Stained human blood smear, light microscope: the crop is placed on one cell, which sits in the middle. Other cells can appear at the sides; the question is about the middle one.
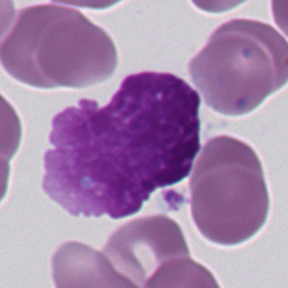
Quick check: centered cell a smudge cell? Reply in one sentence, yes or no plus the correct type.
Yes, that is a smudge cell in the middle of the crop.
